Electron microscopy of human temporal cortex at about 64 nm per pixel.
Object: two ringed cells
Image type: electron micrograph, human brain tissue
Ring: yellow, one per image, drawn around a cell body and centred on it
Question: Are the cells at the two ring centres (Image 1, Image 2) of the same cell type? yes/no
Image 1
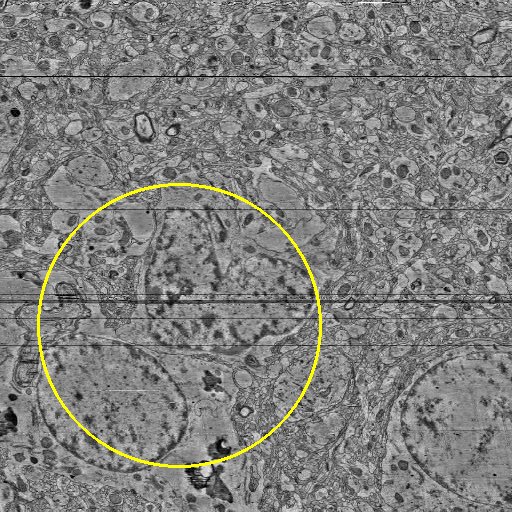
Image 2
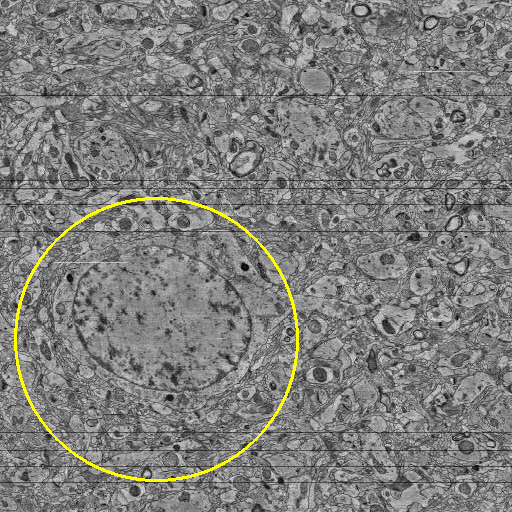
no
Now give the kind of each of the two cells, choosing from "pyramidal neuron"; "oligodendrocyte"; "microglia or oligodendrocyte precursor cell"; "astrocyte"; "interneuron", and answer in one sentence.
The cell in the first picture is a microglial cell or oligodendrocyte precursor cell, and the cell in the second is a pyramidal neuron.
